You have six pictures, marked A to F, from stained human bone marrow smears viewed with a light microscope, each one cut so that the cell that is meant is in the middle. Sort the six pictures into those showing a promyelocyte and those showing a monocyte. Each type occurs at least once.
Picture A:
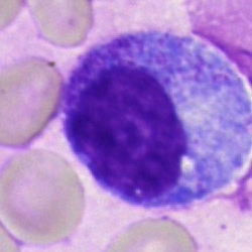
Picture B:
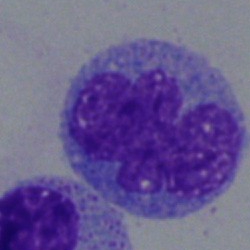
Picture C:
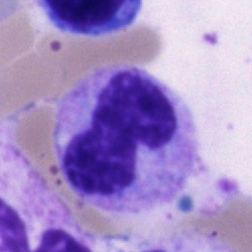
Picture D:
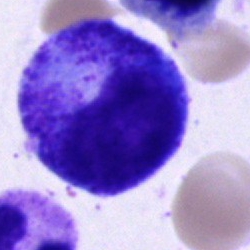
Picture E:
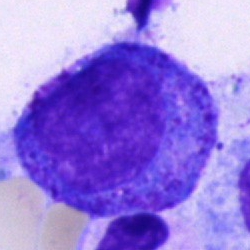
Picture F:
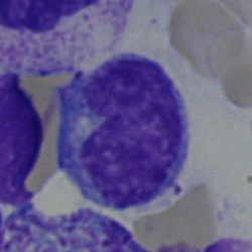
A: promyelocyte
B: monocyte
C: monocyte
D: promyelocyte
E: promyelocyte
F: monocyte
